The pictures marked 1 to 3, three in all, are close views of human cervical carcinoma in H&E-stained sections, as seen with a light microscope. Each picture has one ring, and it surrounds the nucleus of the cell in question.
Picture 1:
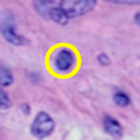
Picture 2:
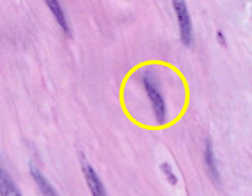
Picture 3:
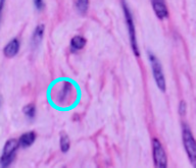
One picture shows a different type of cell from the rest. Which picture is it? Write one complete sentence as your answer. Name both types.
The different one is picture 2; it shows a fibroblast, whereas all the others show smooth muscle cells.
